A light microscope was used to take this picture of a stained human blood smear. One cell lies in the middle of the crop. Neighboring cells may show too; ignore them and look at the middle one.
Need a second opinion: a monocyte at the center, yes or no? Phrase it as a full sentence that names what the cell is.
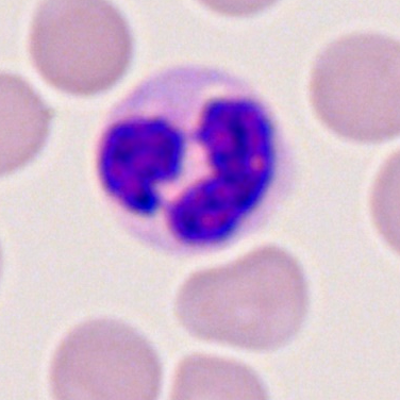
No, the central cell is a segmented neutrophil; it should not be labelled a monocyte.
